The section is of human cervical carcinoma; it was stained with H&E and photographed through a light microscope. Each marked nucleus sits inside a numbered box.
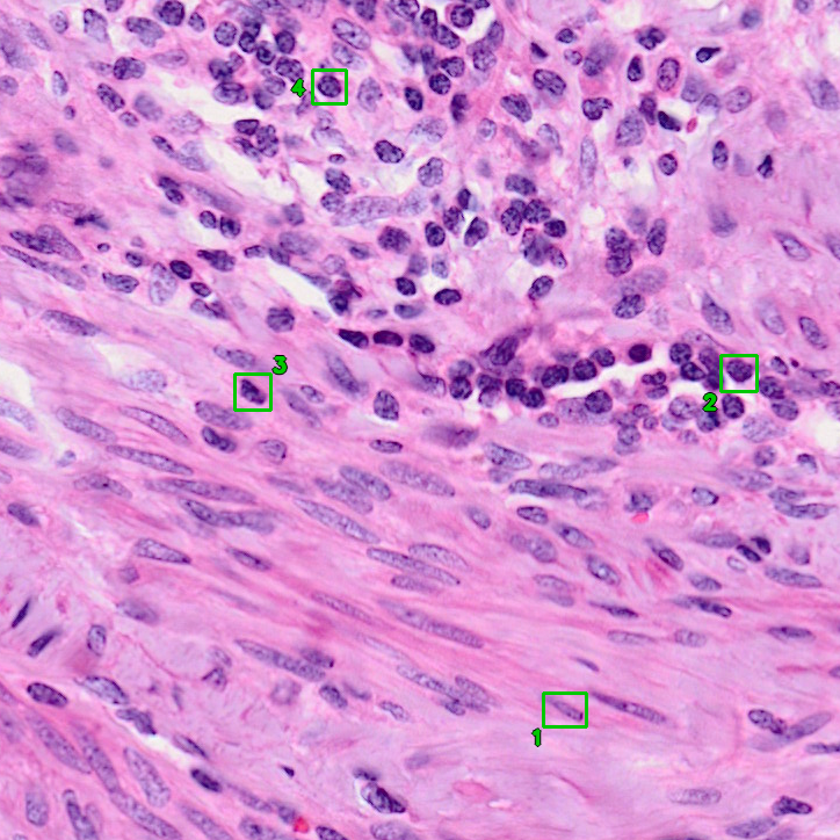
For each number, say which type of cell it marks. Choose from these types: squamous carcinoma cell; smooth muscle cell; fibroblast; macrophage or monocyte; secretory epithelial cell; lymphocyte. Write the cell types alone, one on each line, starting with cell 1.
smooth muscle cell
lymphocyte
lymphocyte
lymphocyte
